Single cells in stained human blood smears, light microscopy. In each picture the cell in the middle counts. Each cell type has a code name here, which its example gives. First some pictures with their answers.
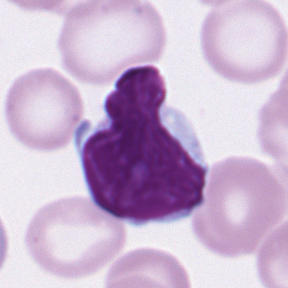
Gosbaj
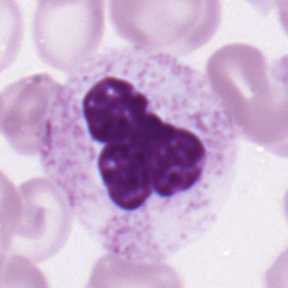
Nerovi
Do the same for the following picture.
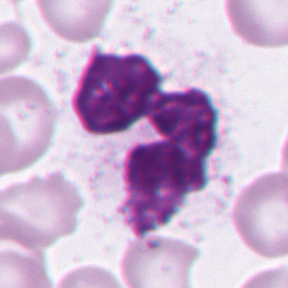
Nerovi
